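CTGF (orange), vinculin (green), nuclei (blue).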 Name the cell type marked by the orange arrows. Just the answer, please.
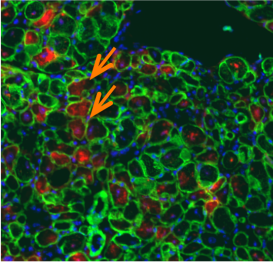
cardiomyocytes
